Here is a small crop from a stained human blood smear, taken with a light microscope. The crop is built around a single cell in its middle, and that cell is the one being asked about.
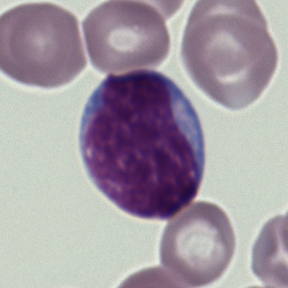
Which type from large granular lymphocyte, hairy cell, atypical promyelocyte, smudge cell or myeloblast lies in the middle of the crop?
myeloblast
